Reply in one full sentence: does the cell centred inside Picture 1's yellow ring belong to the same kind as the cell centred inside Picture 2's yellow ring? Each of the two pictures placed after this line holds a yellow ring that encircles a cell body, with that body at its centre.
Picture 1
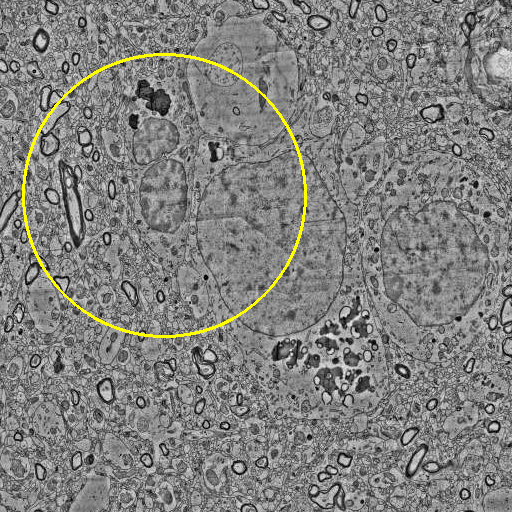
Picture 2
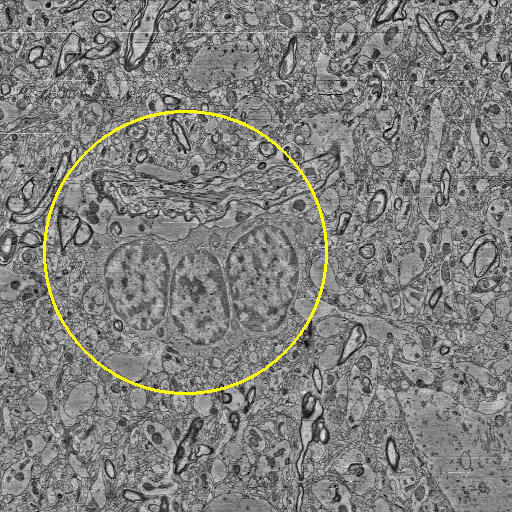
Yes, the ring-centred cells in Picture 1 and Picture 2 are of one and the same kind.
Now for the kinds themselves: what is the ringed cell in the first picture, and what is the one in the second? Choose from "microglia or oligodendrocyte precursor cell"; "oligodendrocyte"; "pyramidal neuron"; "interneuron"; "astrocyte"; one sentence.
Each of the two rings surrounds an oligodendrocyte.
